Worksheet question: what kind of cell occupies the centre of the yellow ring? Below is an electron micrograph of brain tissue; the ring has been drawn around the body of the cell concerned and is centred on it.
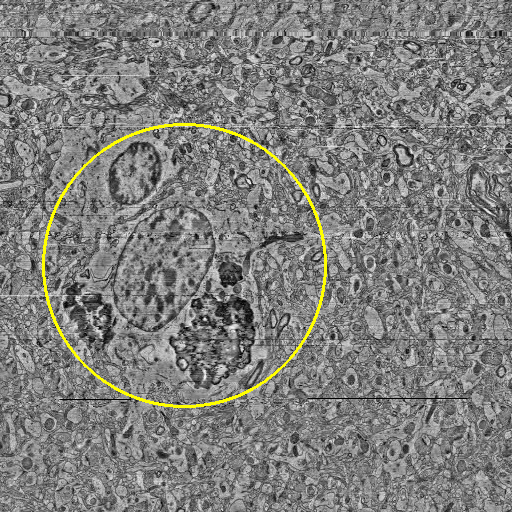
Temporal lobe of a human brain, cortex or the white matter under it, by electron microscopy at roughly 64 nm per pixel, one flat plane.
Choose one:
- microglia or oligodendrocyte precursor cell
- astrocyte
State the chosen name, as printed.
astrocyte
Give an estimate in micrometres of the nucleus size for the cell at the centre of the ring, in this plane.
About 9 by 6 micrometres, the nucleus being clearly longer than it is wide in this plane.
